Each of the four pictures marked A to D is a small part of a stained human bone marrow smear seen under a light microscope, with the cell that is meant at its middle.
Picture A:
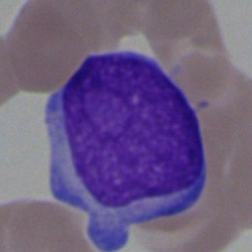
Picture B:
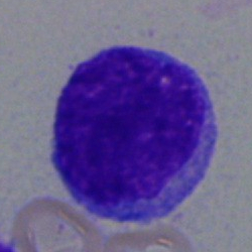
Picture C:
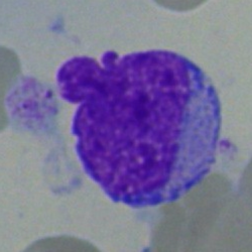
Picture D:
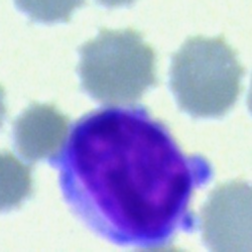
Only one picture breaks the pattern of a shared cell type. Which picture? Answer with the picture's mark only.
D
